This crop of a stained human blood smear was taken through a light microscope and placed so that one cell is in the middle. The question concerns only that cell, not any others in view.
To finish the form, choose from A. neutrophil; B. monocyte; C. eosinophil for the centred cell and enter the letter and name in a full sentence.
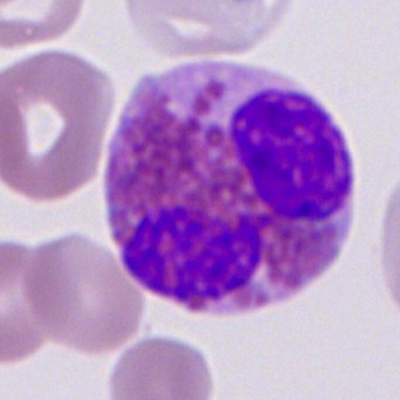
For this crop, option C is right, the centered cell being an eosinophil.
